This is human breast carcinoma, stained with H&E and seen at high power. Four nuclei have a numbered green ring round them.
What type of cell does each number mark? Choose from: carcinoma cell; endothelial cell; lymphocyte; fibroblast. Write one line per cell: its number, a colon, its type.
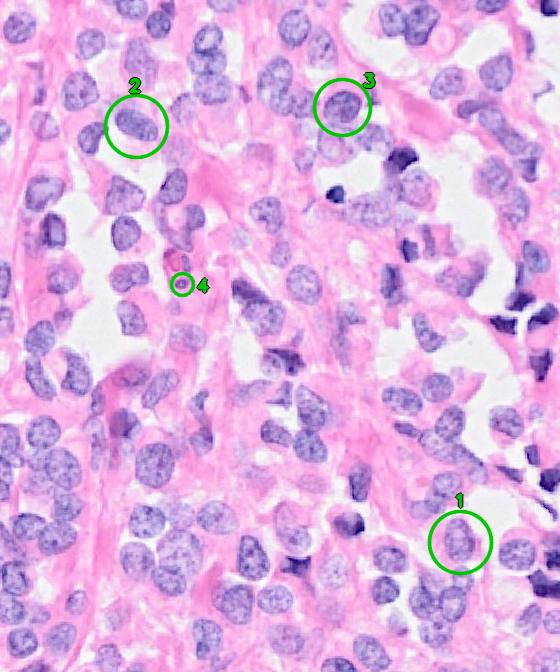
1: carcinoma cell
2: carcinoma cell
3: carcinoma cell
4: endothelial cell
